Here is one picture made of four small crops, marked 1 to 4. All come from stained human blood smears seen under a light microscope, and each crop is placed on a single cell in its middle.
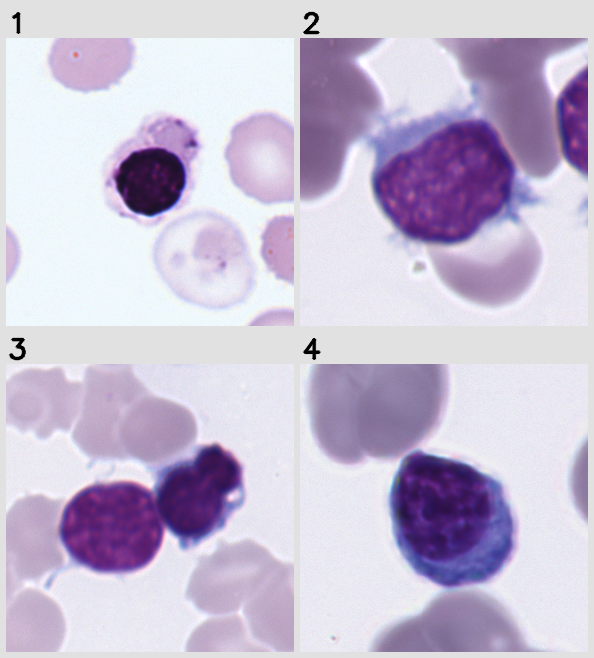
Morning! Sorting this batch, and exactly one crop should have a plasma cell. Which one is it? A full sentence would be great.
The requested cell, a plasma cell, is the one in crop 4.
